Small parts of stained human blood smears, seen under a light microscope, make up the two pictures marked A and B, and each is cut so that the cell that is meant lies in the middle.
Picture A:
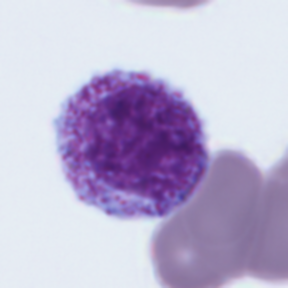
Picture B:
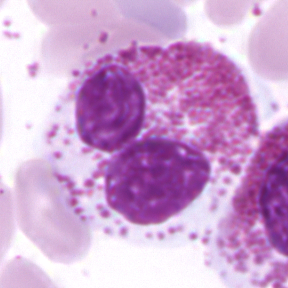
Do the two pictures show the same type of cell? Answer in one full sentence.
No, they differ: the cell is a myelocyte in picture A and an eosinophil in picture B.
